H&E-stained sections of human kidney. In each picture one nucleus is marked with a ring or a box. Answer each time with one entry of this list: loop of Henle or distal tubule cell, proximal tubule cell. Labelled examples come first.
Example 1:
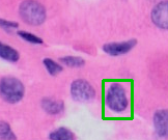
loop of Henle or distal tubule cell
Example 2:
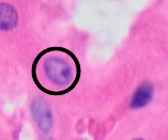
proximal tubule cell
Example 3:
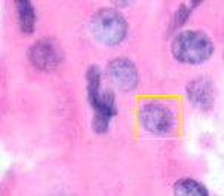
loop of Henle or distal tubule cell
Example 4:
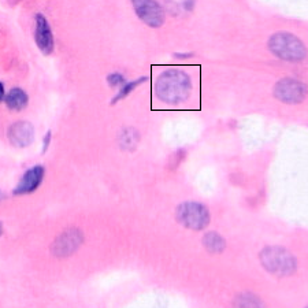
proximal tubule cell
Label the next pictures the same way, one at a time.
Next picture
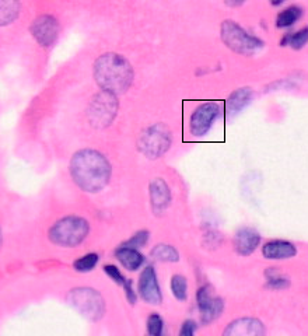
loop of Henle or distal tubule cell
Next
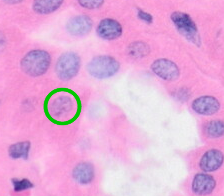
loop of Henle or distal tubule cell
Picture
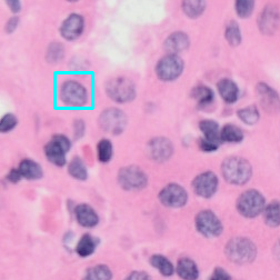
loop of Henle or distal tubule cell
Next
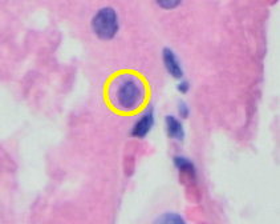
proximal tubule cell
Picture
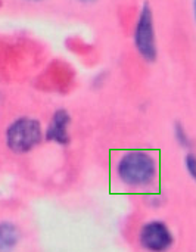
loop of Henle or distal tubule cell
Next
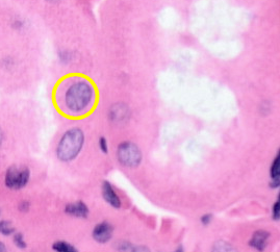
proximal tubule cell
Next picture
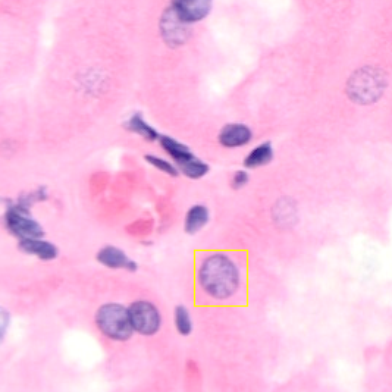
proximal tubule cell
